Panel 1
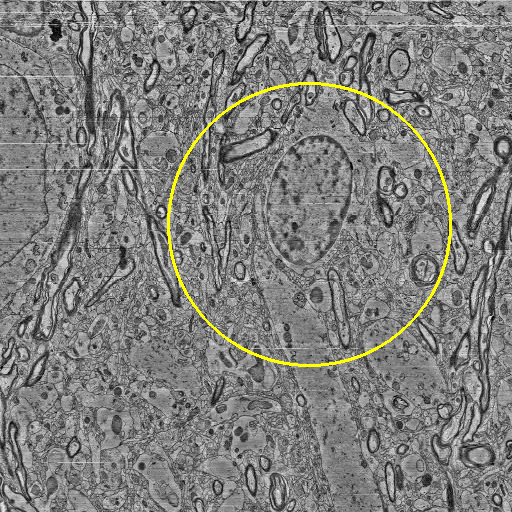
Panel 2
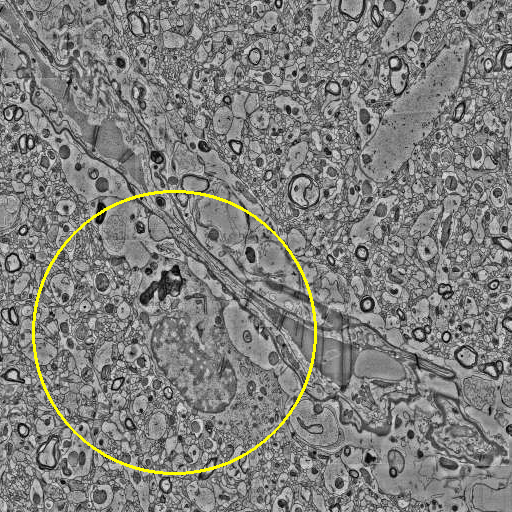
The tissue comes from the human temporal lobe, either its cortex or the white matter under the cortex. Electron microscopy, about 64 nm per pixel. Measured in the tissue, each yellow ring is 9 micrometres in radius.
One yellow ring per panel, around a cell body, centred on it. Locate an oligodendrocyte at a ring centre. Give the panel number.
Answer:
2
